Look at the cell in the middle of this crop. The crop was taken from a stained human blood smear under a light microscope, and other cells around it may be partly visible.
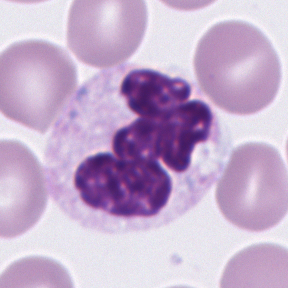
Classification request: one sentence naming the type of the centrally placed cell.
Here the centrally located cell is a segmented neutrophil.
